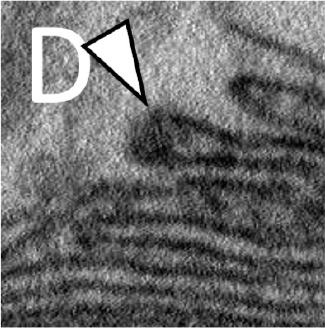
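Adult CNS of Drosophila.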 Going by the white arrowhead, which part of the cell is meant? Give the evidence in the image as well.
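The arrowhead points to the rounded, darker end of a membrane sheet. Parallel membrane layers lie below it.
Conclusion: bulb structure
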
